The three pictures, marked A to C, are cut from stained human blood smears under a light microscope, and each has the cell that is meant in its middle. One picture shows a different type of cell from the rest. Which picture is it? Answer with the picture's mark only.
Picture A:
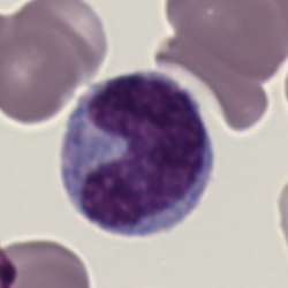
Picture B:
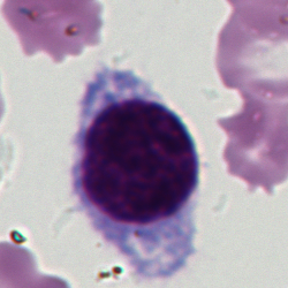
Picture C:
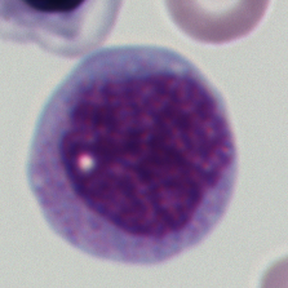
B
